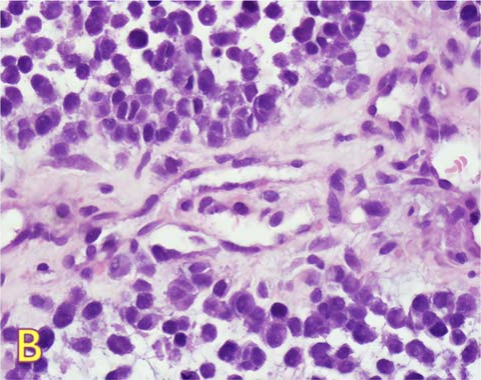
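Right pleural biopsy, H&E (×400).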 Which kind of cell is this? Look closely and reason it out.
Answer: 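Many loosely arranged cells with round to oval, dark purple nuclei. The nuclei vary in size and shape.
Round to oval malignant cells.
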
